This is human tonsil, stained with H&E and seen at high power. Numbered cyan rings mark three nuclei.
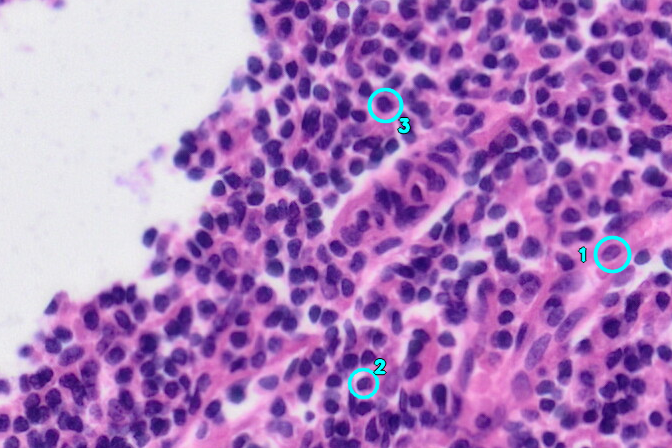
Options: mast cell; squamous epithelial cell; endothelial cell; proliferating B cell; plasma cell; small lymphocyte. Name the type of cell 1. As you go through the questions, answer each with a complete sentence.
The cell numbered 1 has been identified as an endothelial cell.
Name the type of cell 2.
The cell whose nucleus carries the number 2 is a small lymphocyte.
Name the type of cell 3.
The numbered cell 3 is identified here as a small lymphocyte.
